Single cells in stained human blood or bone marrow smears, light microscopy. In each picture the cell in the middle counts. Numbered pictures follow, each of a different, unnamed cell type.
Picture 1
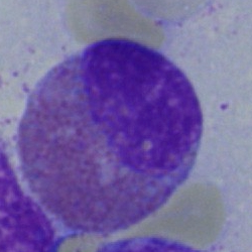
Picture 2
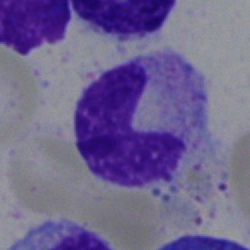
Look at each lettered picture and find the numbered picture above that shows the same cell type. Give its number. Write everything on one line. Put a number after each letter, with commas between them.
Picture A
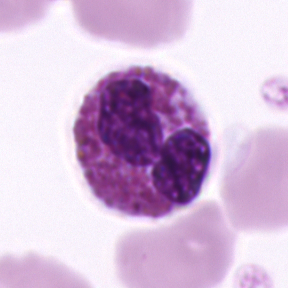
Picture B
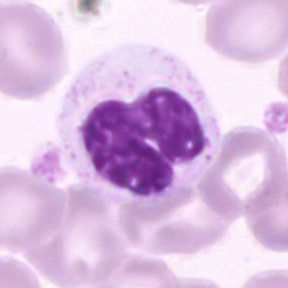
A 1, B 2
